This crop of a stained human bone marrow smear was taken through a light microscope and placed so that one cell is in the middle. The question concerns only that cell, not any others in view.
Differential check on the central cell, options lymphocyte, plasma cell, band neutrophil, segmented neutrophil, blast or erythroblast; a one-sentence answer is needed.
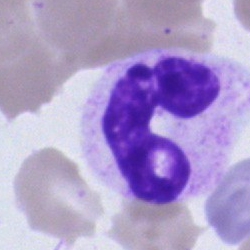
Classified as a band neutrophil is the cell in the middle of this crop.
